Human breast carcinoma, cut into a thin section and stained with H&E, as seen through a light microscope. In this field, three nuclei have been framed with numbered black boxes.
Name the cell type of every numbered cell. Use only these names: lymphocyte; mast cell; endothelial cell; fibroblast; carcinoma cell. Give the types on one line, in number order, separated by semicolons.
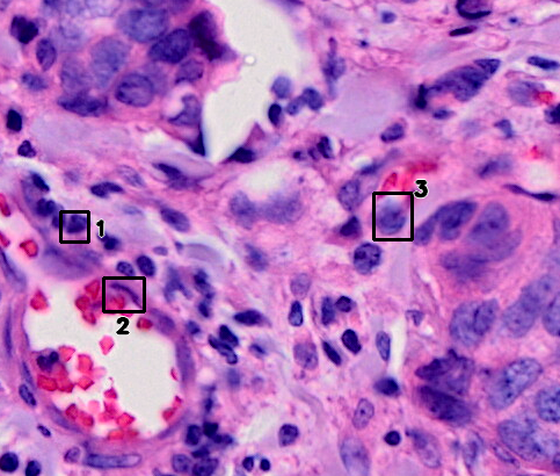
lymphocyte; endothelial cell; endothelial cell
